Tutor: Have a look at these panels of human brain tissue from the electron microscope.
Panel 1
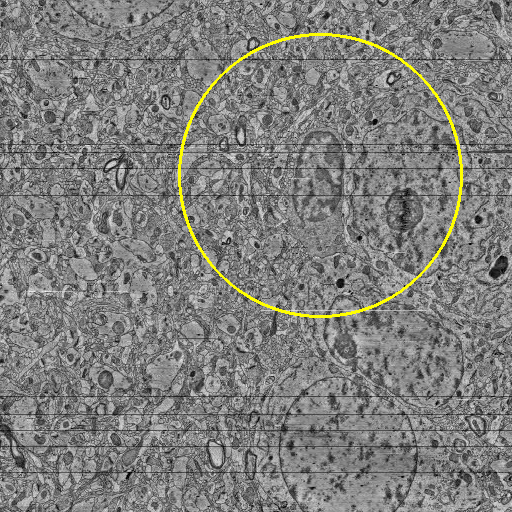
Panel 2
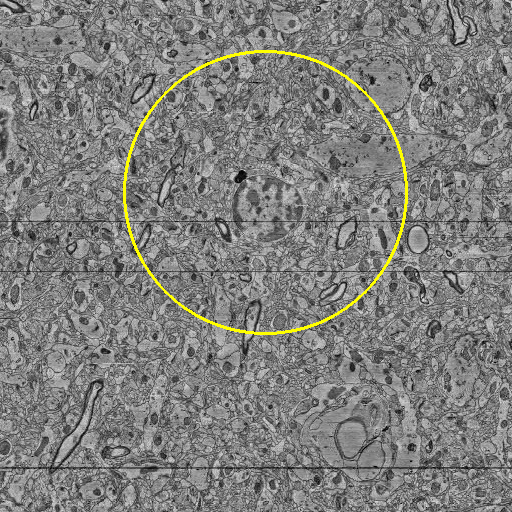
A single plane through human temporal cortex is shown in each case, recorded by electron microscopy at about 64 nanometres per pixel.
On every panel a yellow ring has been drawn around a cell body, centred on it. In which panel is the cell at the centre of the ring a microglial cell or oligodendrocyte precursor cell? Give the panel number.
2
